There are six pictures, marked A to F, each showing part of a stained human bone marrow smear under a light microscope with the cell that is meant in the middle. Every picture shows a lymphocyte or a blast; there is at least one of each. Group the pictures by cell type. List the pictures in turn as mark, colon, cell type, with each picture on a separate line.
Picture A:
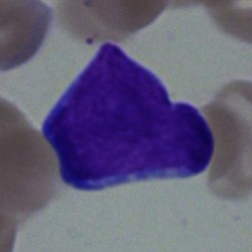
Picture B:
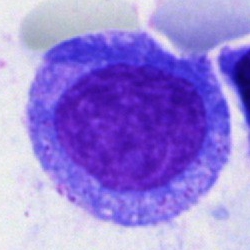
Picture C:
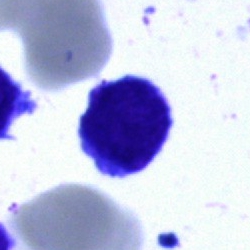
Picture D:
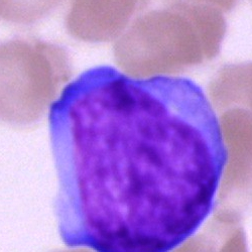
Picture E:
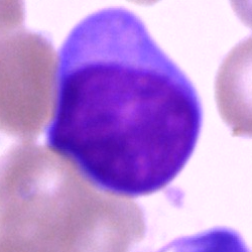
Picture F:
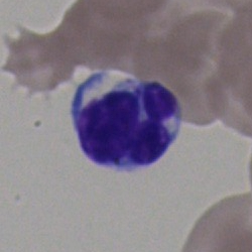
A: blast
B: blast
C: lymphocyte
D: blast
E: blast
F: lymphocyte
